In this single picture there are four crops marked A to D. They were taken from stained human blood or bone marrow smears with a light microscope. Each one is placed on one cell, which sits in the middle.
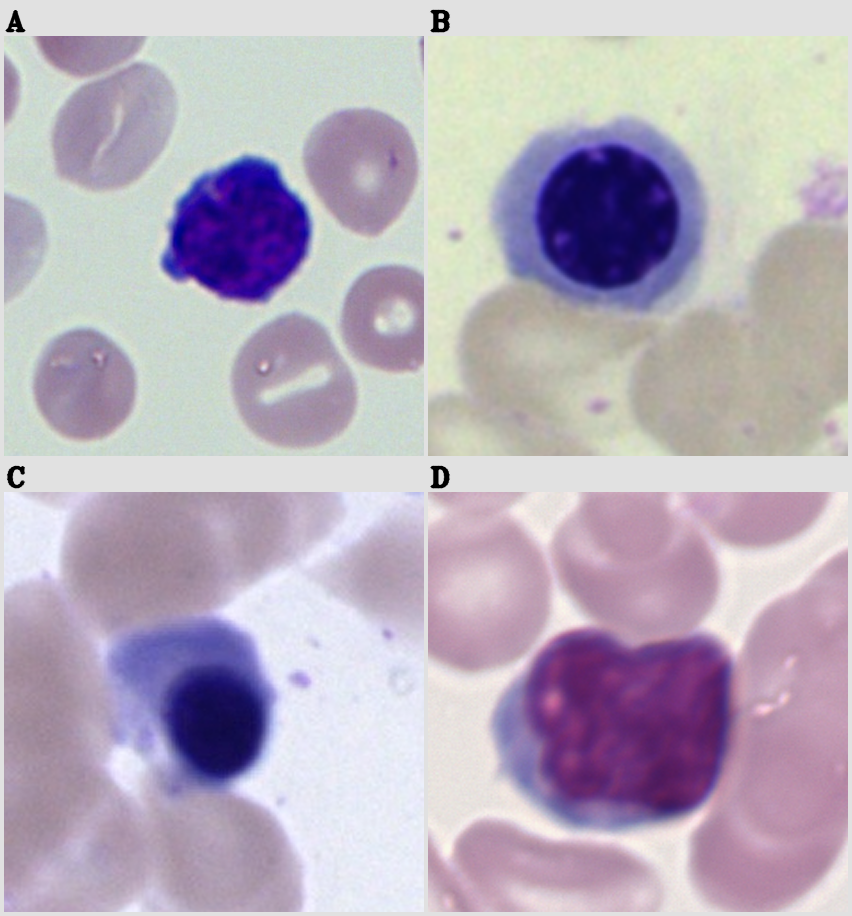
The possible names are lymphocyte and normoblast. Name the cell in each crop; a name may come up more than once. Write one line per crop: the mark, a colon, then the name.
A: lymphocyte
B: normoblast
C: normoblast
D: lymphocyte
